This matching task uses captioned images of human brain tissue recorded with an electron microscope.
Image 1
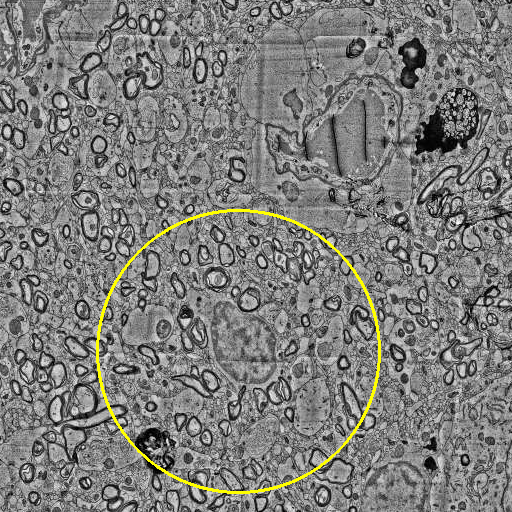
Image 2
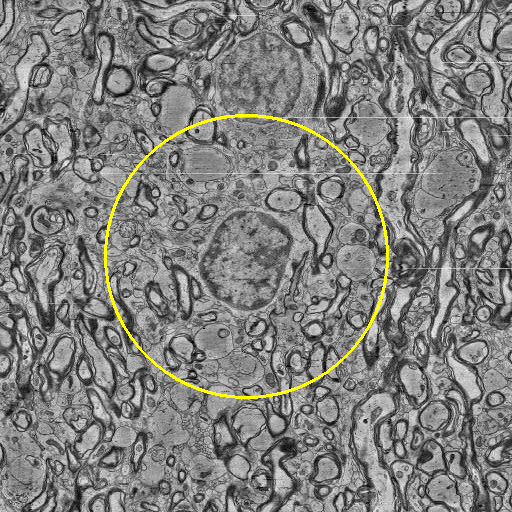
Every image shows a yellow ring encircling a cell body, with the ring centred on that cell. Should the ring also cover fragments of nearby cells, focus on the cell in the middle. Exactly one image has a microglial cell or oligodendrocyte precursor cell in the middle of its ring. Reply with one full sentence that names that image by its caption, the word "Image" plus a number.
Image 2 shows the cell in question at the centre of its yellow ring.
